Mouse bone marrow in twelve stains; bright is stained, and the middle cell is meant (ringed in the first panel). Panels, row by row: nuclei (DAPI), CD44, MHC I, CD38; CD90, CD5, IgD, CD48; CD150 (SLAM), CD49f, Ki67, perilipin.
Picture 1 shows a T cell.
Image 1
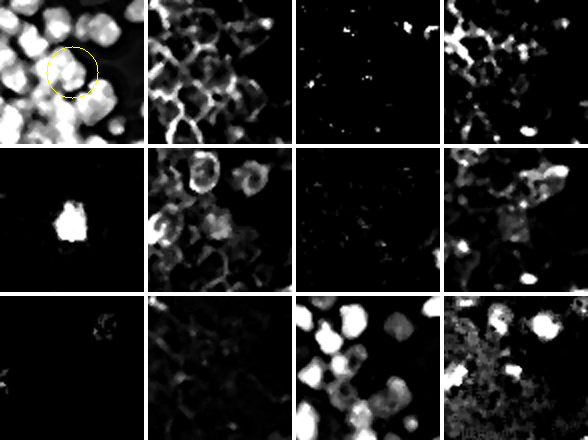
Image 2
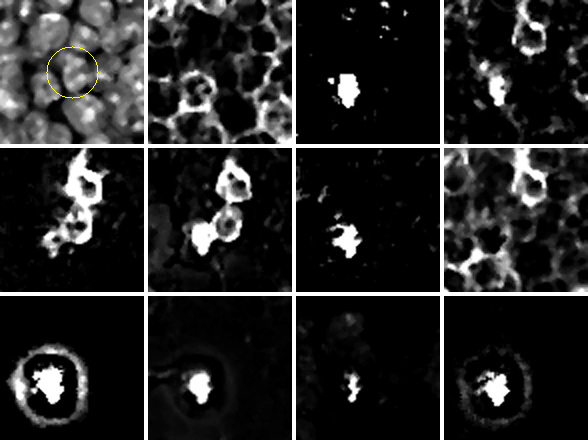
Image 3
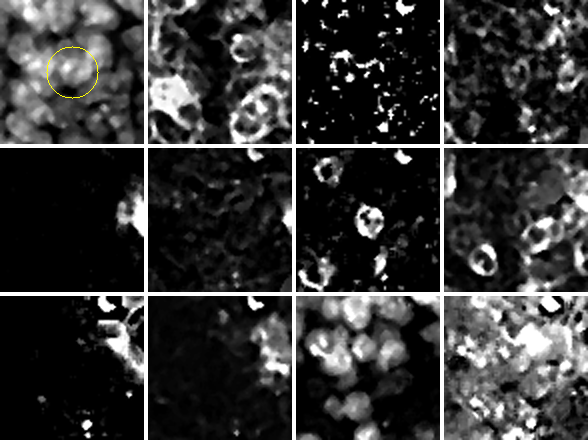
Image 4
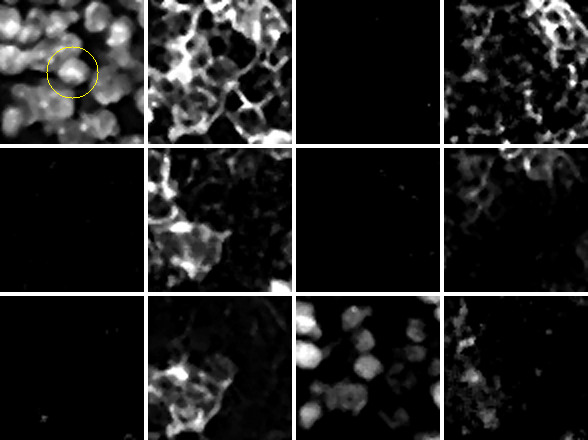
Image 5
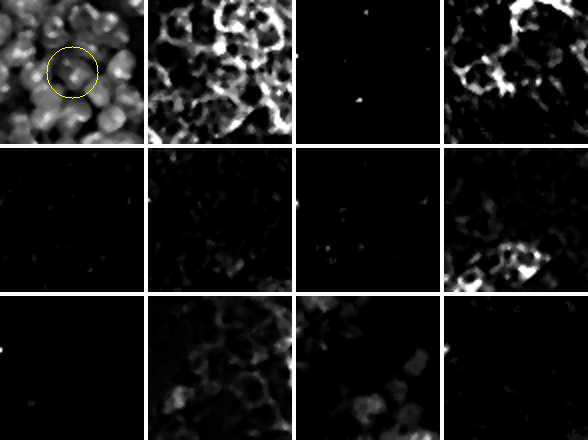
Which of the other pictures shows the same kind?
Picture 2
